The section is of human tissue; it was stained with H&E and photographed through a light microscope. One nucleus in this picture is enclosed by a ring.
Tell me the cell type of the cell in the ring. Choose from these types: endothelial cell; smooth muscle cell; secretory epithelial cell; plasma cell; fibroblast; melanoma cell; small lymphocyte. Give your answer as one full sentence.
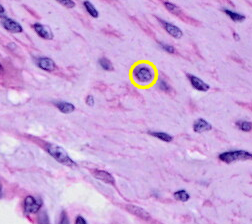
It is a smooth muscle cell that the cell in the ring represents.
